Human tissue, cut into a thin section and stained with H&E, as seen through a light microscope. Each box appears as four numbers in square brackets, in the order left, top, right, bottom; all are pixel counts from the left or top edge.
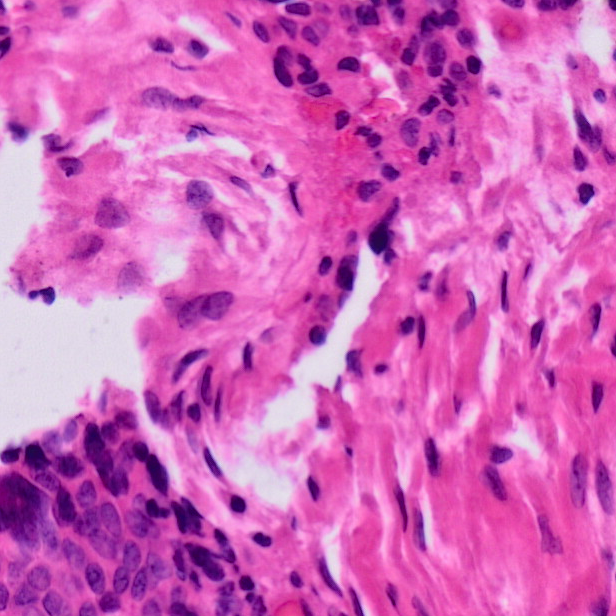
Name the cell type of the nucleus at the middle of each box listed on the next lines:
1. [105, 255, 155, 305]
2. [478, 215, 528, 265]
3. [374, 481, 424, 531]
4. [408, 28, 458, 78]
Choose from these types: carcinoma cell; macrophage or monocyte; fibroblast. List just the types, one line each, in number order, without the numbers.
fibroblast
fibroblast
fibroblast
carcinoma cell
